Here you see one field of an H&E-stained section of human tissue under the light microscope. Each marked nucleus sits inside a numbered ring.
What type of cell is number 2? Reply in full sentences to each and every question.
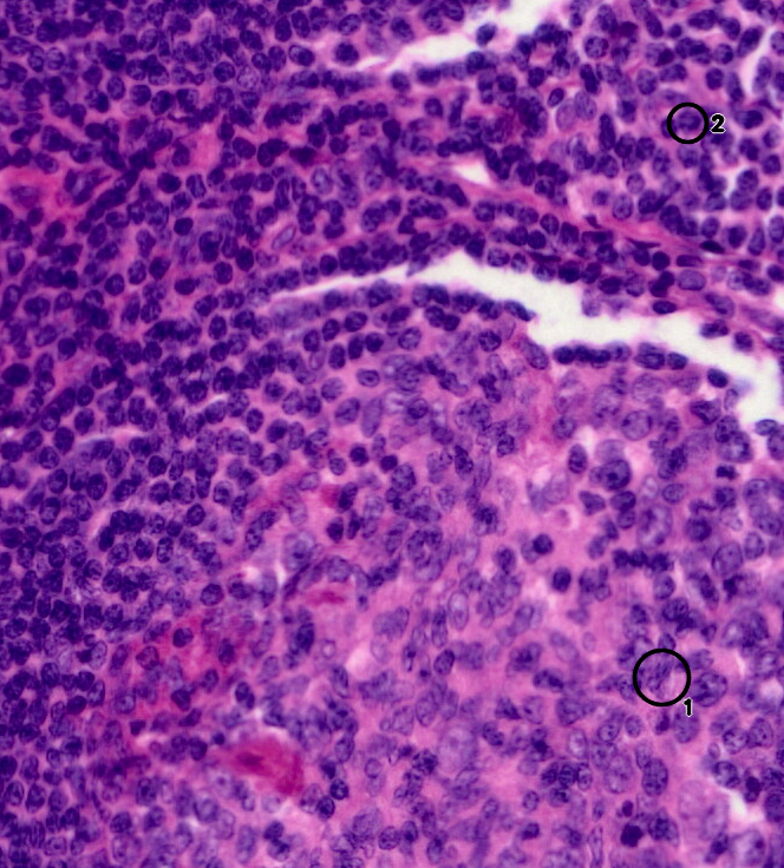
Numbered cell 2 is a small lymphocyte in this tissue section.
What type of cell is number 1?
Marked with the number 1, this cell is a proliferating B cell.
